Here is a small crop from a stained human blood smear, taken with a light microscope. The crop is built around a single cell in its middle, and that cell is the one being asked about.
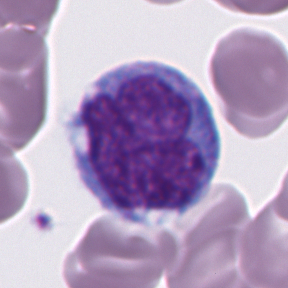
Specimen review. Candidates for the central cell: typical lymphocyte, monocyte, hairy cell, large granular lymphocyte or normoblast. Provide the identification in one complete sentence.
The cell centered in this field of view is a monocyte.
